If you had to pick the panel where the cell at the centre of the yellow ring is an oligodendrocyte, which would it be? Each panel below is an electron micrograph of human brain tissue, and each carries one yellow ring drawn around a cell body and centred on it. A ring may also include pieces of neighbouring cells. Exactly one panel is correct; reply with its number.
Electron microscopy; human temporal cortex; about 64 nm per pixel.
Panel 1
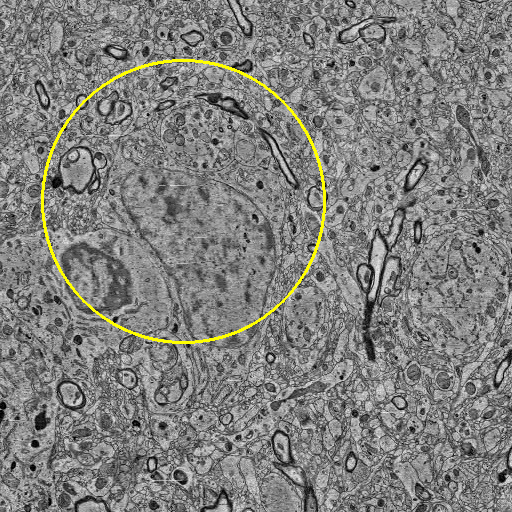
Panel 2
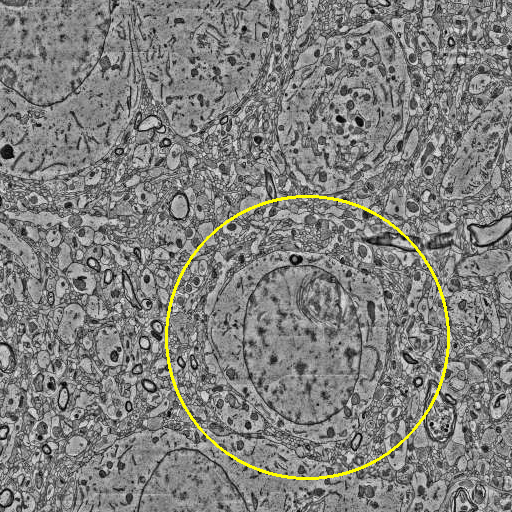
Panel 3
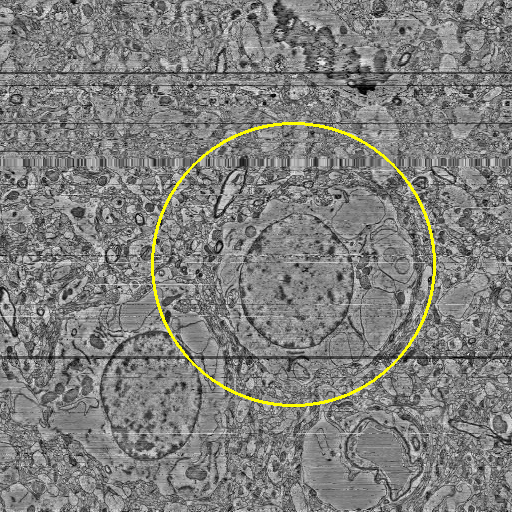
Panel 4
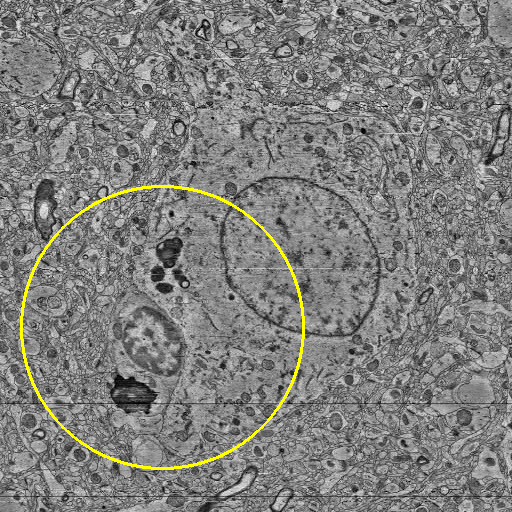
4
